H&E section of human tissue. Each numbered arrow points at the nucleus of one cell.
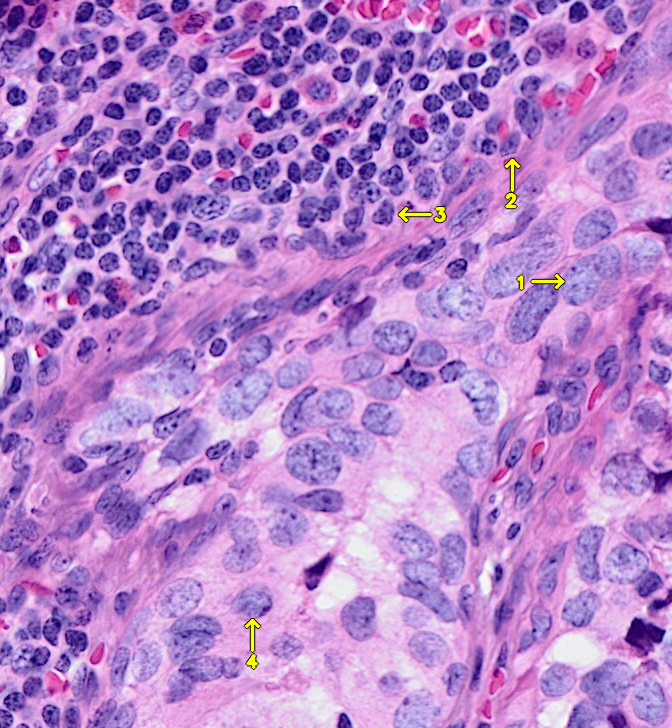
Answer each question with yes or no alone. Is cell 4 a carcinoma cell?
yes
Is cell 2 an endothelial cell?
yes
